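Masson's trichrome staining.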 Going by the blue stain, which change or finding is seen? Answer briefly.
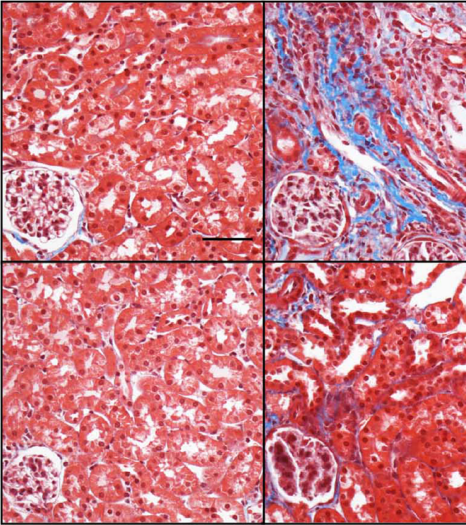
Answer: Tubulointerstitial fibrosis.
